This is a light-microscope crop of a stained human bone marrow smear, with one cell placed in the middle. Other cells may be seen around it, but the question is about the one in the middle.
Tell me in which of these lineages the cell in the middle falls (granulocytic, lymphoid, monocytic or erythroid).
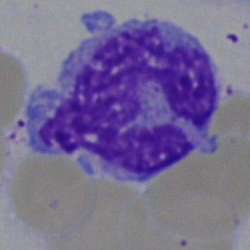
monocytic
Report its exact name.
monocyte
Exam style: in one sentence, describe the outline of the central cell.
Smoothness is lacking at the edge, which is ragged in places or drawn into projections.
